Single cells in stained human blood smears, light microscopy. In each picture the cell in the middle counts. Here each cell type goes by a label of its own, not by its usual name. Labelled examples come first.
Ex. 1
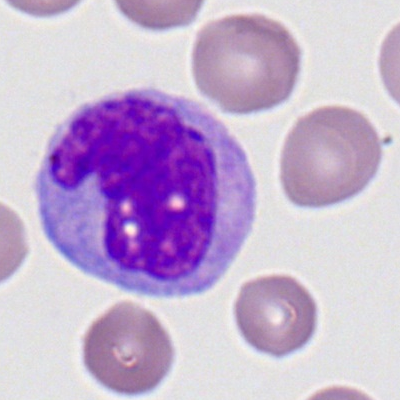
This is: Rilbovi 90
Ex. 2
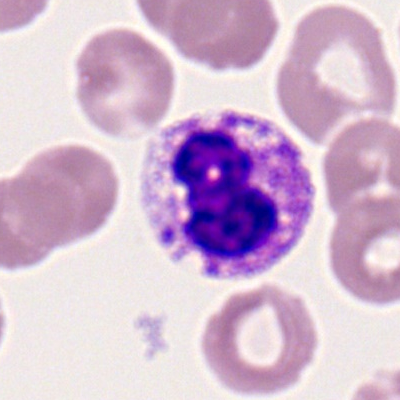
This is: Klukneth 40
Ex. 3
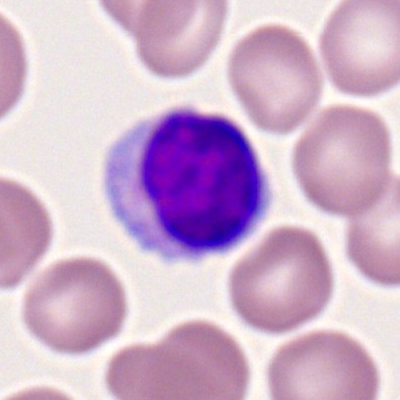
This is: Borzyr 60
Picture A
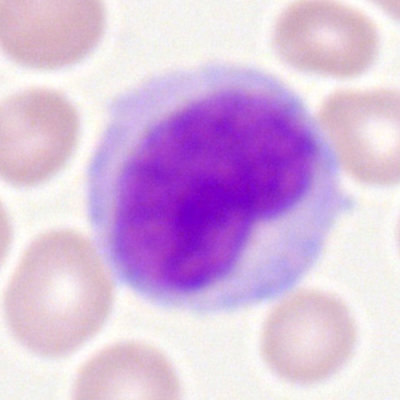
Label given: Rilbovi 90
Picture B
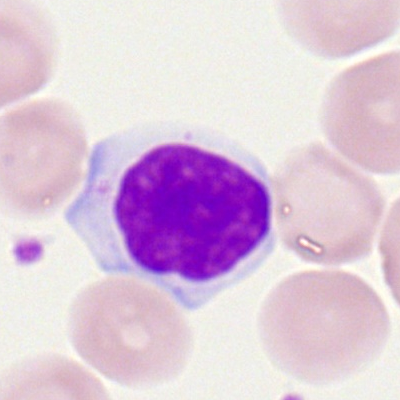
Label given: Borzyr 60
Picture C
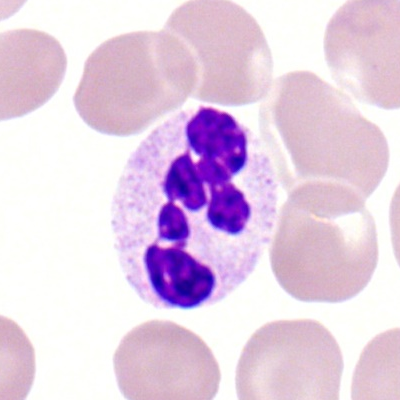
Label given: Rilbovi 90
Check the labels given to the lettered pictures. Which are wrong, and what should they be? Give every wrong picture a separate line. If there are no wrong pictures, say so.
C should be Klukneth 40, not Rilbovi 90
